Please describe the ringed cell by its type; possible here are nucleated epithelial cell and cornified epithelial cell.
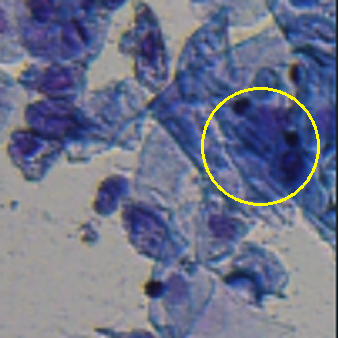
The yellow ring marks a cornified epithelial cell.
